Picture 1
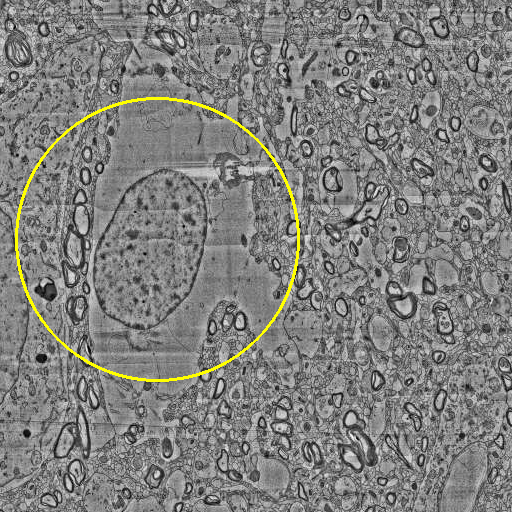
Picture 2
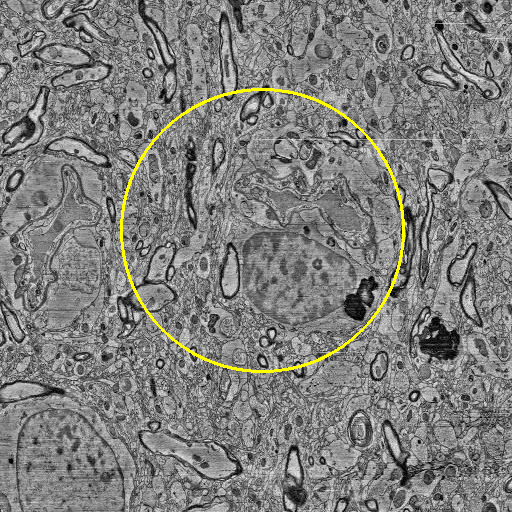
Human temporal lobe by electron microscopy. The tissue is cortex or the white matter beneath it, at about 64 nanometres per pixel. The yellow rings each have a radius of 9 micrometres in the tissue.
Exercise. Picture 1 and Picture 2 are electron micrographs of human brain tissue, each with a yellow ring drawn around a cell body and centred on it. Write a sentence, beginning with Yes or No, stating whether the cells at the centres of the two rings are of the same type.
No, the cells at the centres of the rings are of two types.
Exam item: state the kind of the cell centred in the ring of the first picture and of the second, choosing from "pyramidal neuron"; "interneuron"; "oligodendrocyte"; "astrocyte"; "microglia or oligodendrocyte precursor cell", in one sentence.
The first picture shows an astrocyte at the ring centre and the second shows an oligodendrocyte.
